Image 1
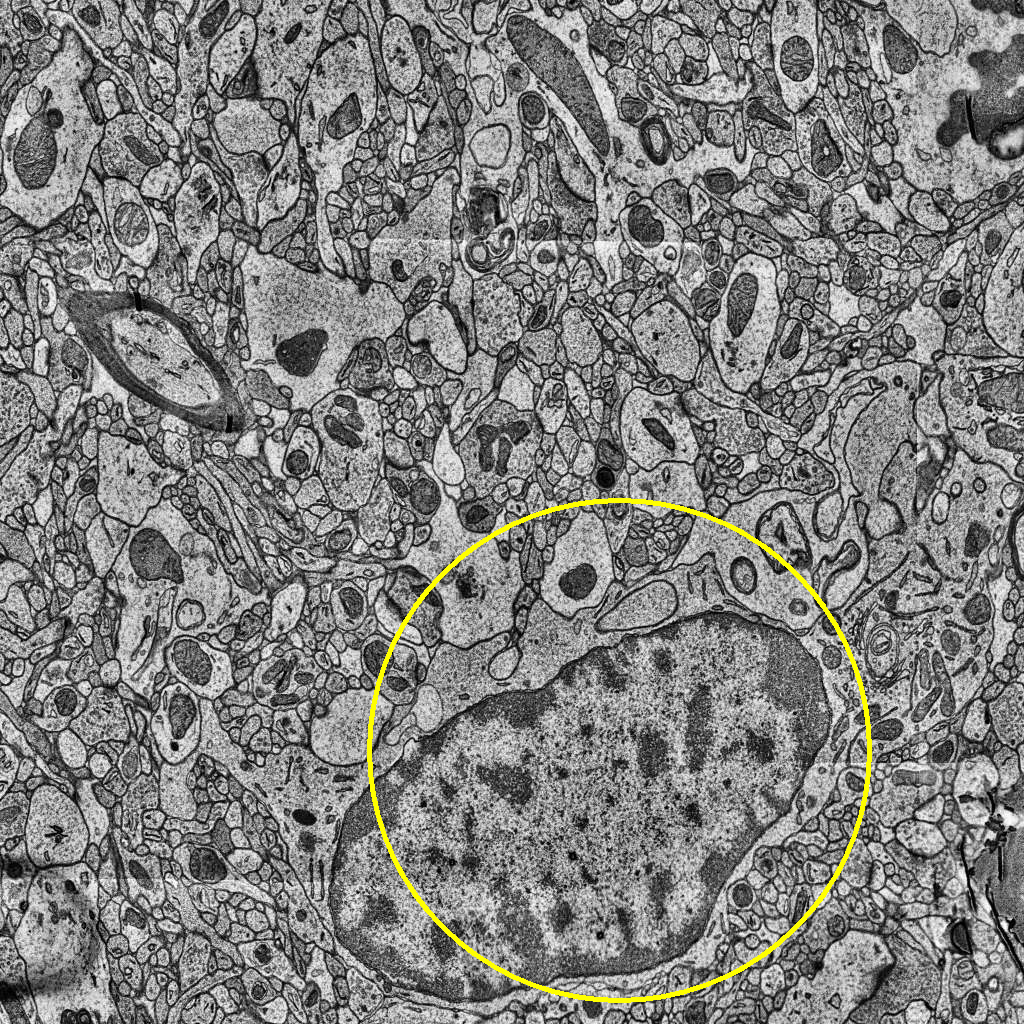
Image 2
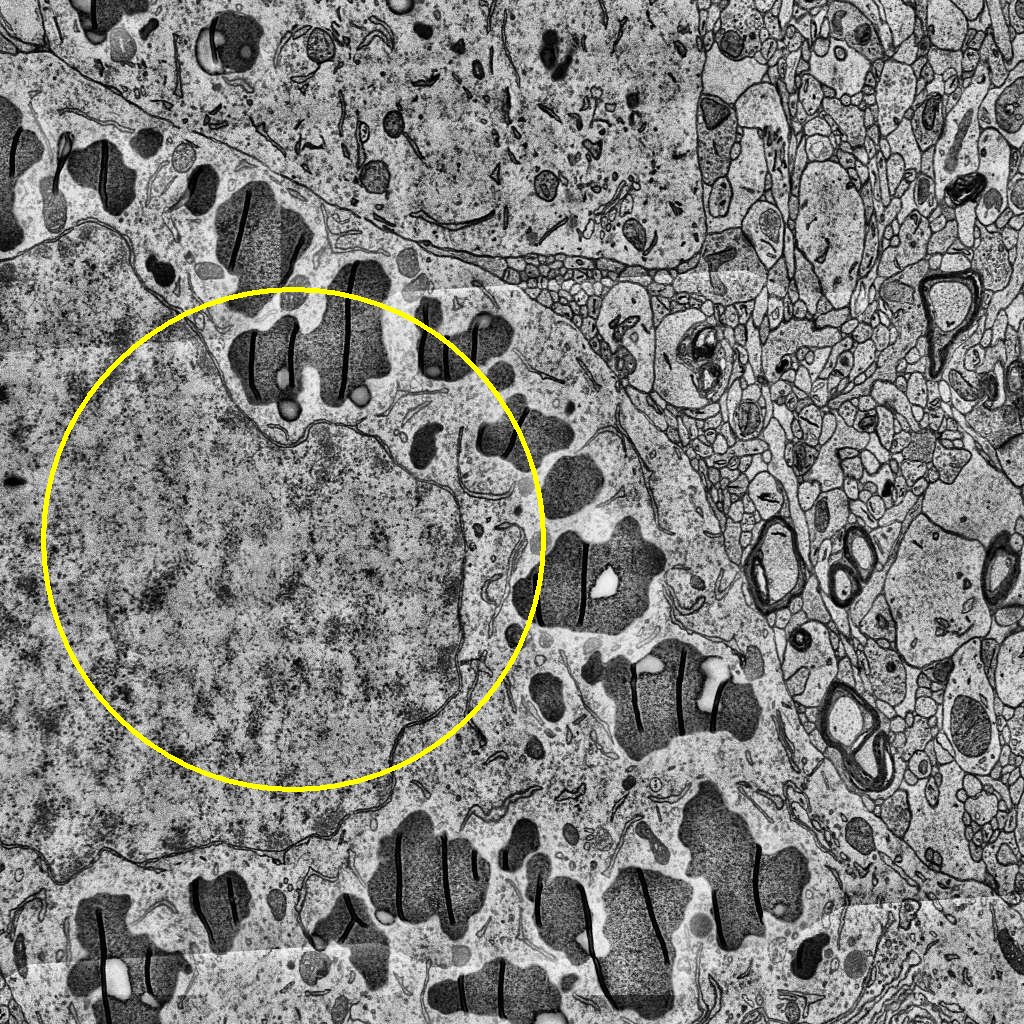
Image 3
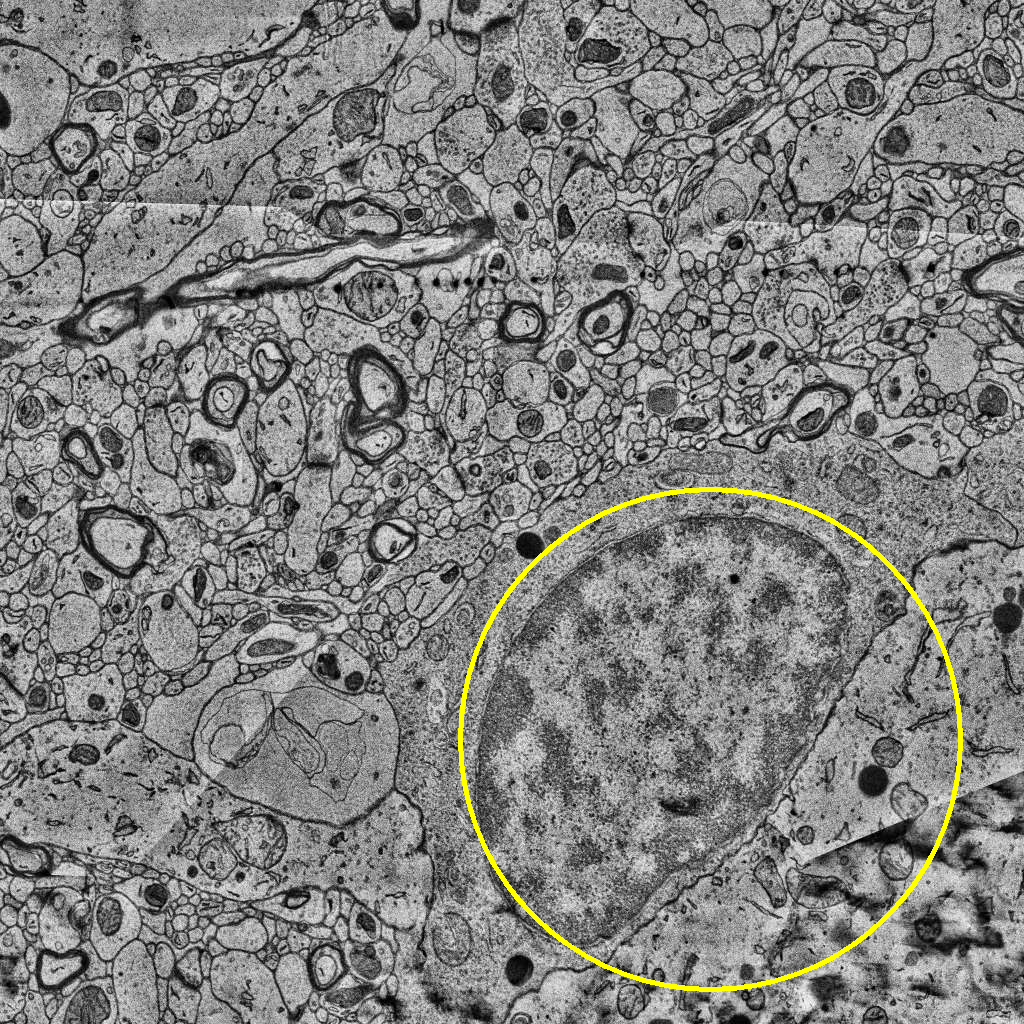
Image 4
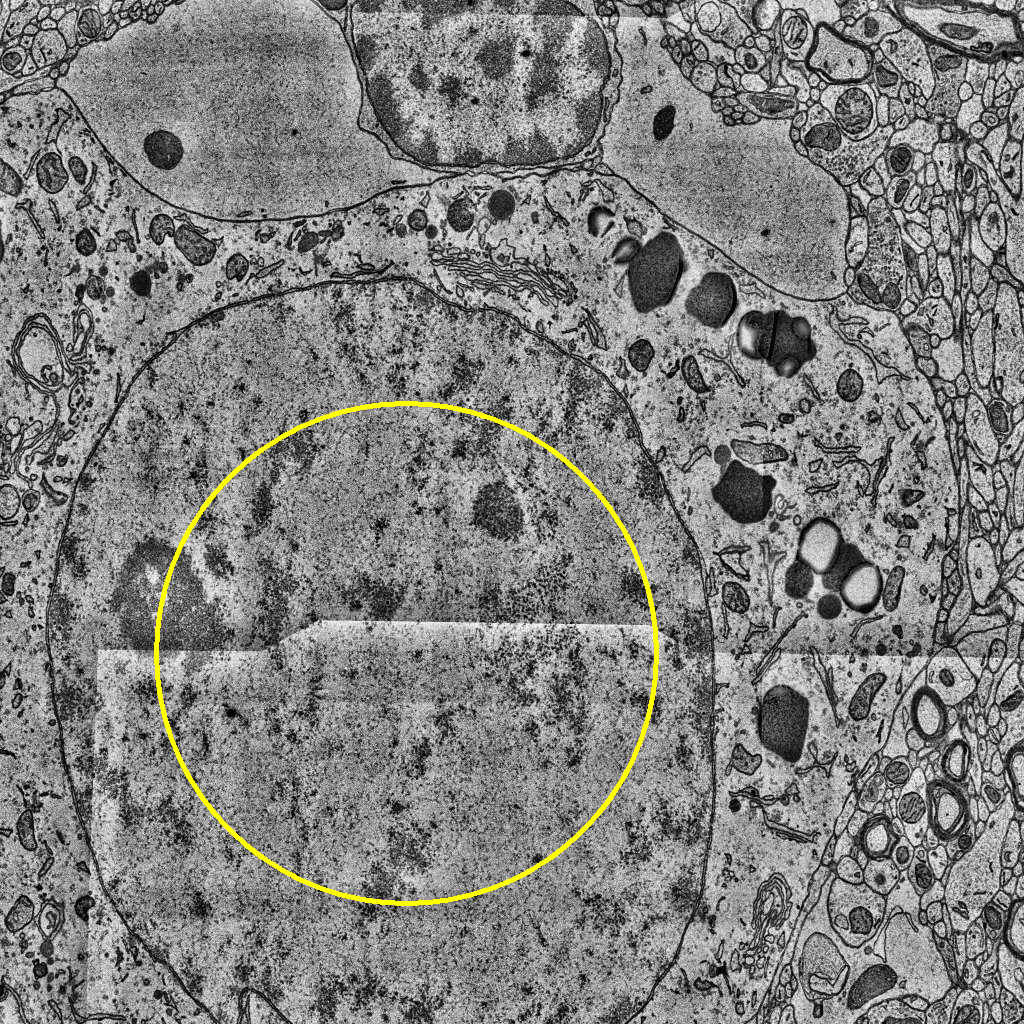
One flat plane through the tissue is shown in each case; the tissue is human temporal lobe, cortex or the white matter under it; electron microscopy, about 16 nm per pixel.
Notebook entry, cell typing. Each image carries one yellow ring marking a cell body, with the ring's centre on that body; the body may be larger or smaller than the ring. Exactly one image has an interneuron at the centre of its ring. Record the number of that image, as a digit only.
2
